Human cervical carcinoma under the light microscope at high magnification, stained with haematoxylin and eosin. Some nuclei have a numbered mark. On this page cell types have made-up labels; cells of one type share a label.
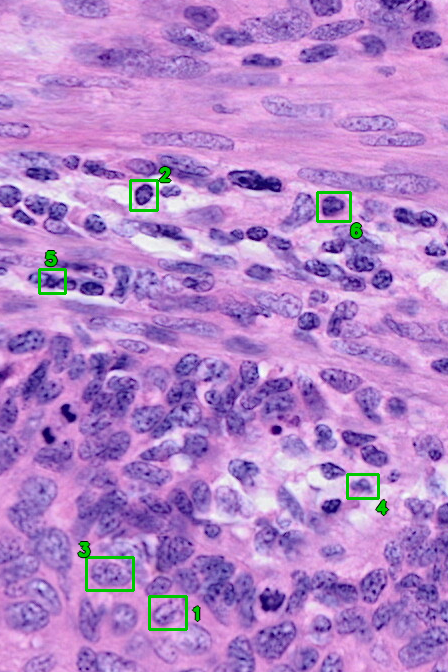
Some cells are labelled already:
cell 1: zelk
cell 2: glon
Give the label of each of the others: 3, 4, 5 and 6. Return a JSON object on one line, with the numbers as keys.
{"3": "zelk", "4": "glon", "5": "glon", "6": "glon"}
